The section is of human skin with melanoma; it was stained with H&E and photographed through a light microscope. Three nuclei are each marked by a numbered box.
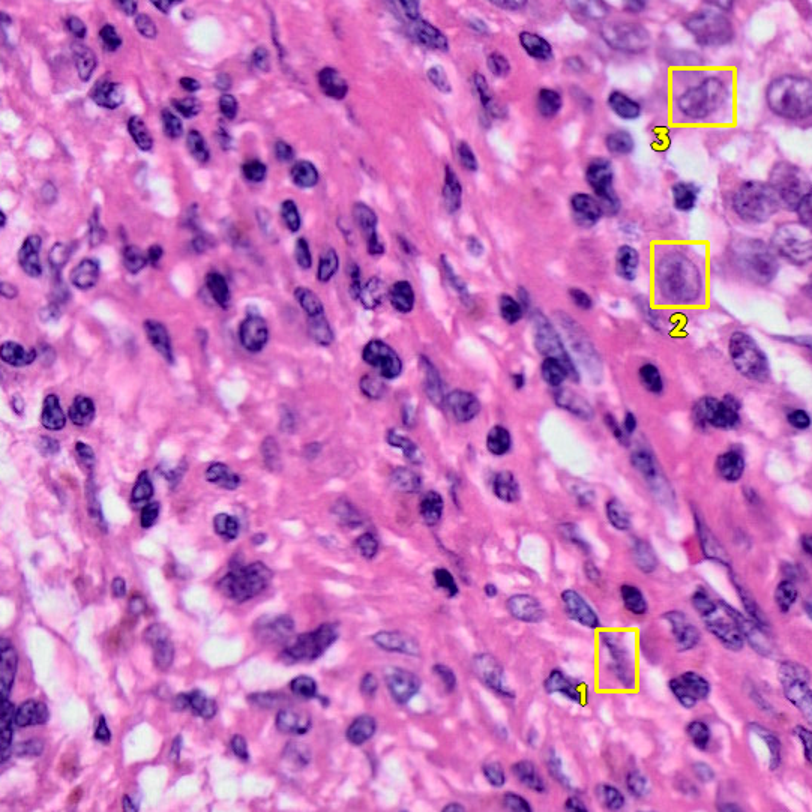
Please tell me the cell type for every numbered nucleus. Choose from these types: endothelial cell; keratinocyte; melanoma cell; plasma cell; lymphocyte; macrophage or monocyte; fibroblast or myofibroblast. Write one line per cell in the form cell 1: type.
cell 1: fibroblast or myofibroblast
cell 2: melanoma cell
cell 3: melanoma cell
